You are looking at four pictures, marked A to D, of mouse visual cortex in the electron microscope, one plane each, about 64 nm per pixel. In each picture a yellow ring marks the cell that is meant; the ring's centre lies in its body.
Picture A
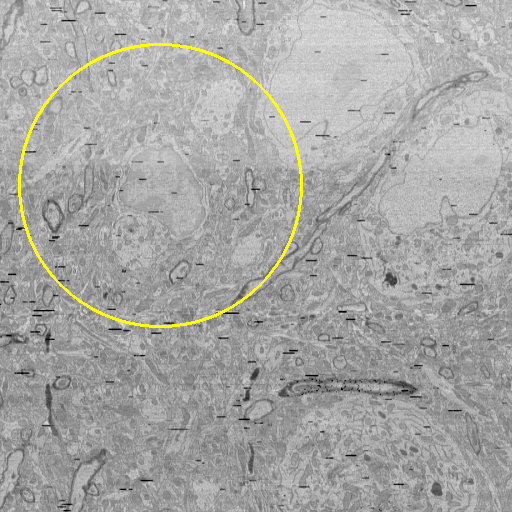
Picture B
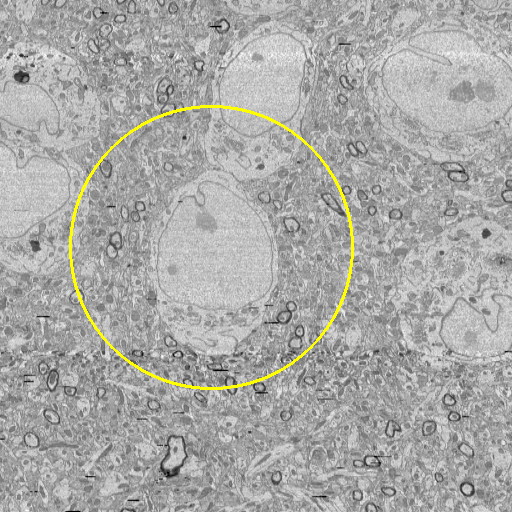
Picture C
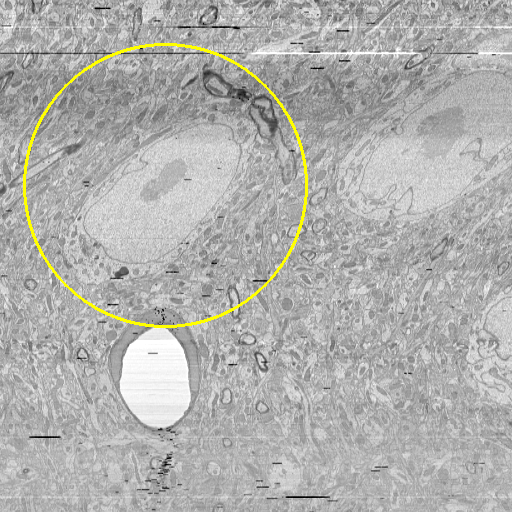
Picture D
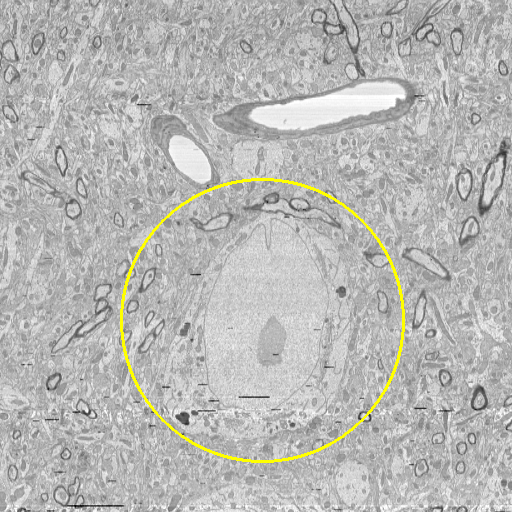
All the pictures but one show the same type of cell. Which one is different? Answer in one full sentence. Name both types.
Picture A differs, because its cell is a microglial cell and the rest are excitatory neurons.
